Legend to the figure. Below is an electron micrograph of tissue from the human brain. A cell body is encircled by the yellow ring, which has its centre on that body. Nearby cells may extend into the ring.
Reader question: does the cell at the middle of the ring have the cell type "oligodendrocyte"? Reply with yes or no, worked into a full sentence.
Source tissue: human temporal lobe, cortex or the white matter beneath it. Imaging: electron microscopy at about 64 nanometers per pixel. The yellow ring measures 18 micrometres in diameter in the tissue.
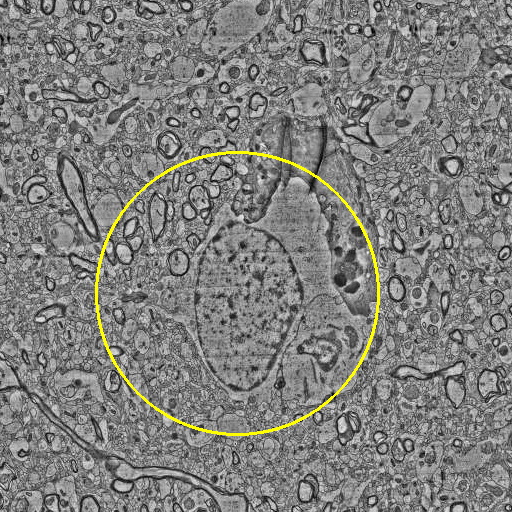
No, the cell sitting at the middle of the ring in the picture has another cell type.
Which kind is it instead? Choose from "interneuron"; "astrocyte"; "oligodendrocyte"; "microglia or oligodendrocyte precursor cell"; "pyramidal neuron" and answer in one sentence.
Instead, the picture shows a microglial cell or oligodendrocyte precursor cell at the centre of the ring.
